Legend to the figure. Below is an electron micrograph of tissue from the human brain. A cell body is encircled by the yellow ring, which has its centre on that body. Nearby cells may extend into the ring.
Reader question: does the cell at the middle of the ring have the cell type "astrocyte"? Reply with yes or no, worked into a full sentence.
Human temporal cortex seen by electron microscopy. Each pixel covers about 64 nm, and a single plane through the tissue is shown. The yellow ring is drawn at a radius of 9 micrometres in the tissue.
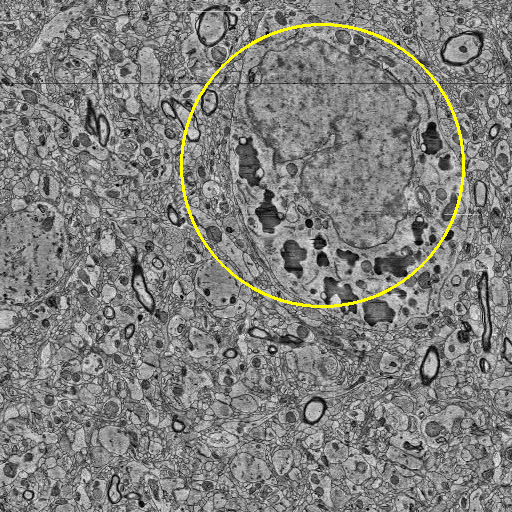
No, the cell sitting at the middle of the ring in the picture has another cell type.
